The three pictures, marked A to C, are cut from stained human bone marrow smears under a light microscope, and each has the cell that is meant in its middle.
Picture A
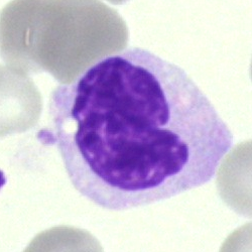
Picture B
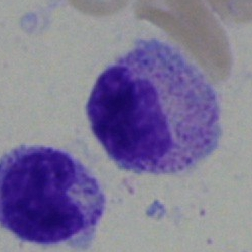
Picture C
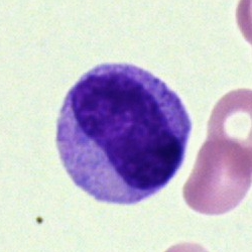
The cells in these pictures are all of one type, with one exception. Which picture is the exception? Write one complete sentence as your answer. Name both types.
Unlike the rest, which show metamyelocytes, picture B shows a myelocyte.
